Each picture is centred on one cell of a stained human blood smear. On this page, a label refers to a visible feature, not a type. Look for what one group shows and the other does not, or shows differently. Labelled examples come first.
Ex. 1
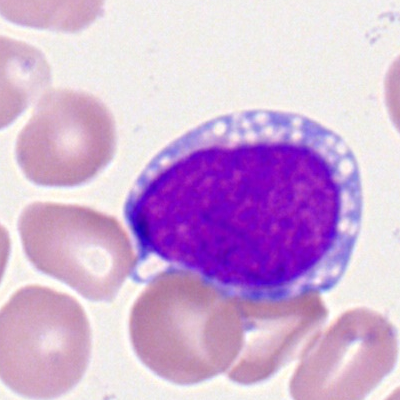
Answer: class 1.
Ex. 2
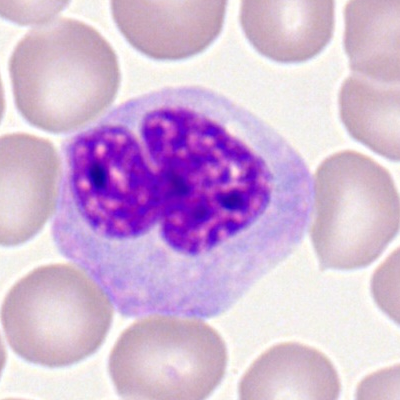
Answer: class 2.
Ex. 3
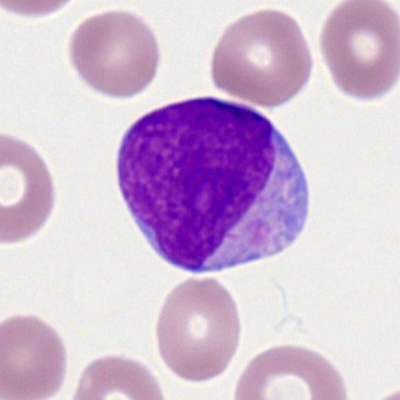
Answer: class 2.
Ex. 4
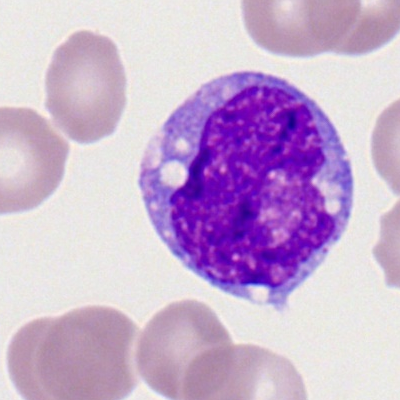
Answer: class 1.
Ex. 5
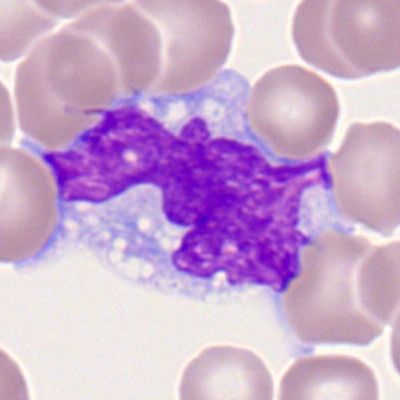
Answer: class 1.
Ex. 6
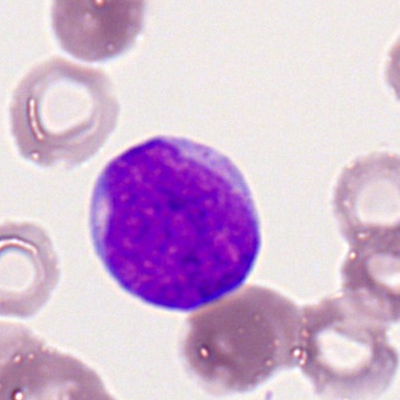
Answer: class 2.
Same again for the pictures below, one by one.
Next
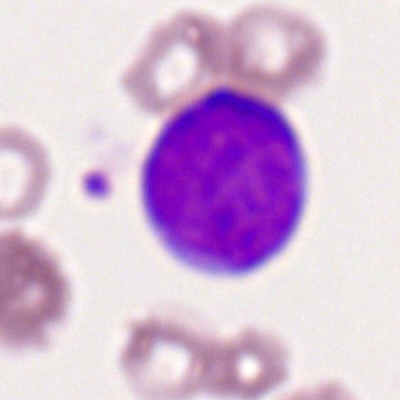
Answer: class 2.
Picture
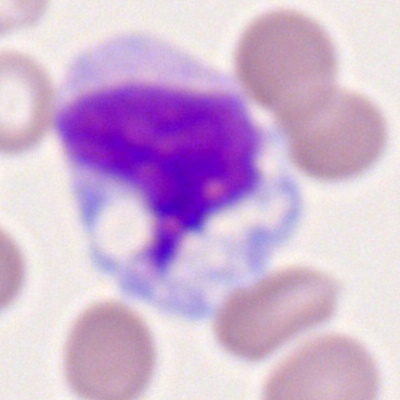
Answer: class 1.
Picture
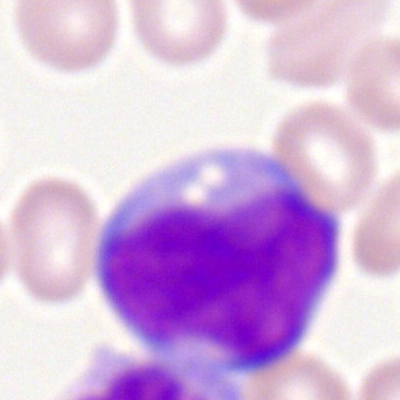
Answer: class 1.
